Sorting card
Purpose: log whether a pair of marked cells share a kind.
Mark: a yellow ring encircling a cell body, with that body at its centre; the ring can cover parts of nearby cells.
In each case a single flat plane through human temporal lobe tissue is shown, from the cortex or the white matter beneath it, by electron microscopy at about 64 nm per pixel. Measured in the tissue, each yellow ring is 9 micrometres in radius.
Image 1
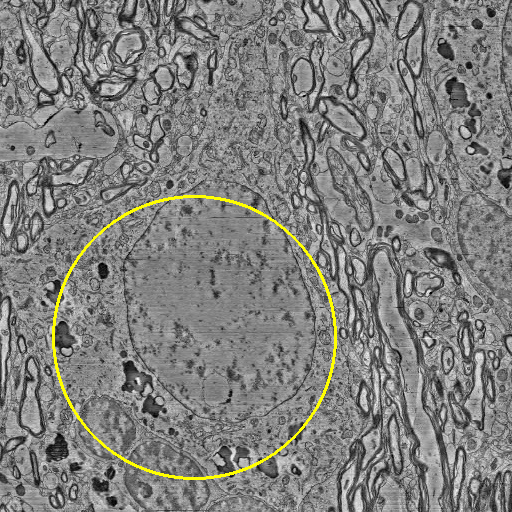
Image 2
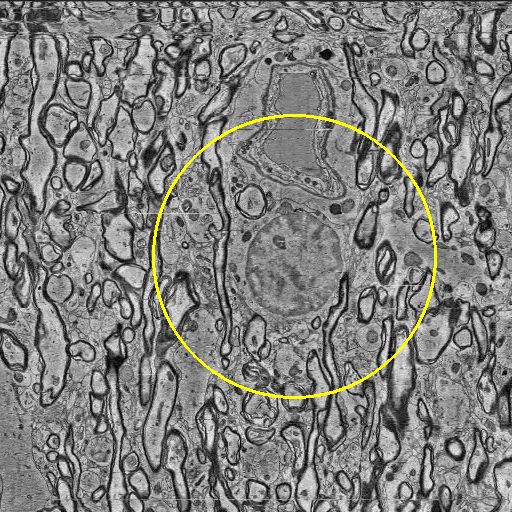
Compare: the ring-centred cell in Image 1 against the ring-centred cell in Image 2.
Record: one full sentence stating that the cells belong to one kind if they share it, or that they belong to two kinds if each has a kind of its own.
Across Images 1 and 2, the two ring-centred cells belong to two kinds.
